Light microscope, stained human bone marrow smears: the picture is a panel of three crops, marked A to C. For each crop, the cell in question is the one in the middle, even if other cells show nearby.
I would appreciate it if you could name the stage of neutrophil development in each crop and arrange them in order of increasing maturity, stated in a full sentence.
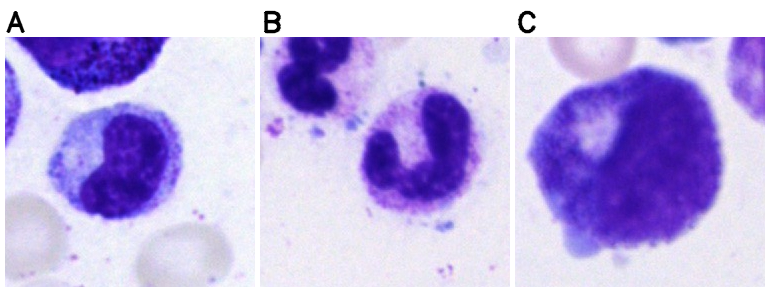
Starting from the least mature, the sequence proceeds crop C (a promyelocyte), crop A (a metamyelocyte) and crop B (a segmented neutrophil).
